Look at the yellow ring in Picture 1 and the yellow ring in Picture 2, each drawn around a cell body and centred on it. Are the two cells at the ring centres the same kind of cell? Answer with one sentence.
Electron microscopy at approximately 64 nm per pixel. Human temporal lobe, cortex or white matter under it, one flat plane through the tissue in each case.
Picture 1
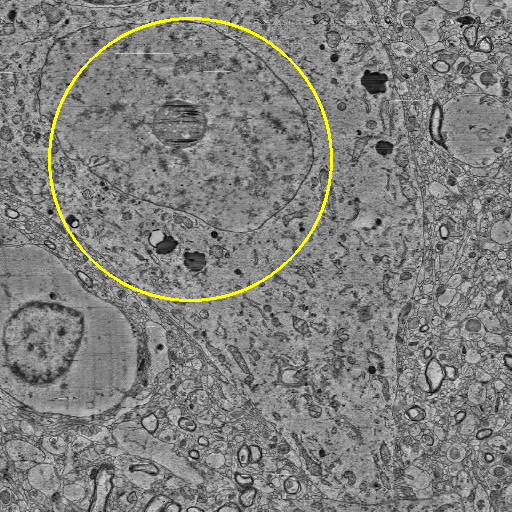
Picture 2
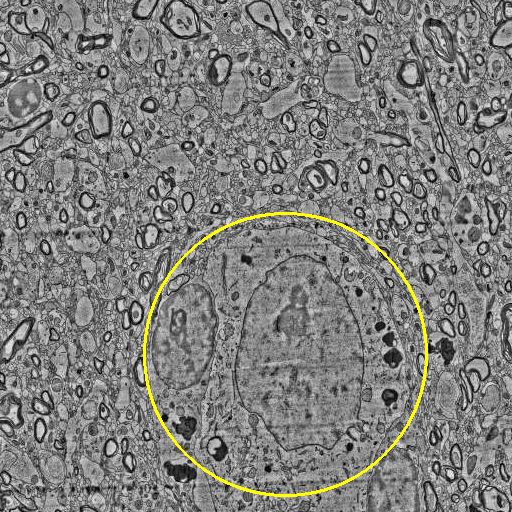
Yes, both are the same kind of cell.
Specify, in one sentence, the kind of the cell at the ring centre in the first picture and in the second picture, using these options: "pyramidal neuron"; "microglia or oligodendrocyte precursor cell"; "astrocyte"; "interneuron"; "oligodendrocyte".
Each cell, in the first picture and the second, is a pyramidal neuron.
